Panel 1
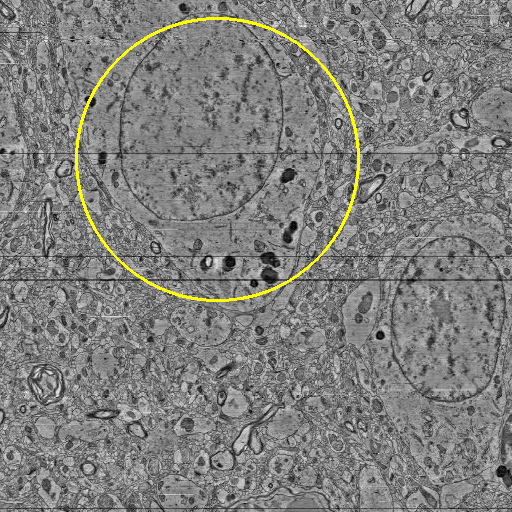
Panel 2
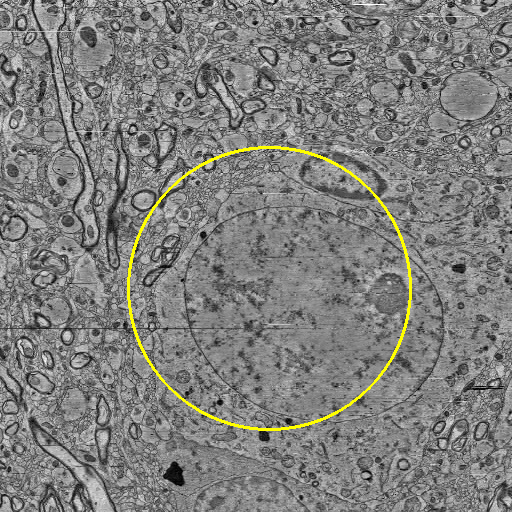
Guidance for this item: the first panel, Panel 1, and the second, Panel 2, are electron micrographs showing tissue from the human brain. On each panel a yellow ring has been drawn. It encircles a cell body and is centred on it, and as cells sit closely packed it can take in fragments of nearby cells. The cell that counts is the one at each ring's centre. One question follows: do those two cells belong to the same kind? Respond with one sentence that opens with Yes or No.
Yes, the cells at the ring centres in Panel 1 and Panel 2 are of one kind.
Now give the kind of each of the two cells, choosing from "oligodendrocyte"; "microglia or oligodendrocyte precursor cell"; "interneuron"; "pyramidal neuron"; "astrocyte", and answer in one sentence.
Each cell at the centre of a ring is a pyramidal neuron.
